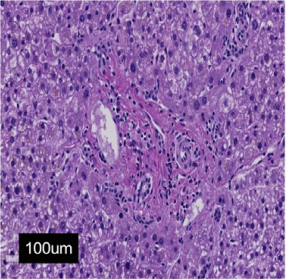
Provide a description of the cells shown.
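This is liver tissue with a small portal area near the centre, surrounded by plates of hepatocytes. The hepatocytes are large polygonal cells with pink, finely granular cytoplasm and round, centrally placed dark purple nuclei. They are arranged in cords separated by narrow sinusoidal spaces. The portal area holds a small open vessel lumen set in pink-to-magenta fibrous connective tissue, with a few small tubular profiles and scattered small dark nuclei of other cells around it. The architecture of the parenchyma is preserved, without large areas of cell loss.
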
